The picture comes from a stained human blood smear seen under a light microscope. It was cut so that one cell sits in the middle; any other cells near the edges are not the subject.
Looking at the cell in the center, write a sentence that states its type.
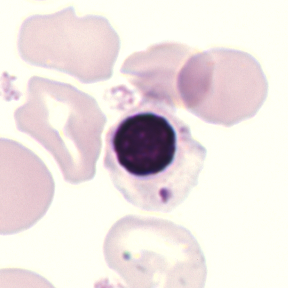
The cell at the middle of the crop is recognized as a normoblast.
